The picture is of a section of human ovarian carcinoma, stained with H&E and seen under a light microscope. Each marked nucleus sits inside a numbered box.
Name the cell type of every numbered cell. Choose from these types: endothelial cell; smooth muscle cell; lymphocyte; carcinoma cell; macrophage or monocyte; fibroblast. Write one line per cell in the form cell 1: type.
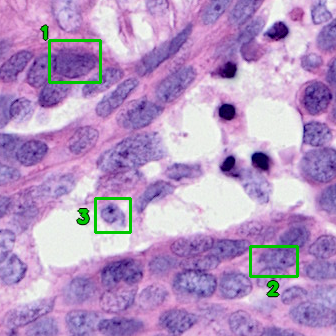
cell 1: carcinoma cell
cell 2: carcinoma cell
cell 3: macrophage or monocyte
